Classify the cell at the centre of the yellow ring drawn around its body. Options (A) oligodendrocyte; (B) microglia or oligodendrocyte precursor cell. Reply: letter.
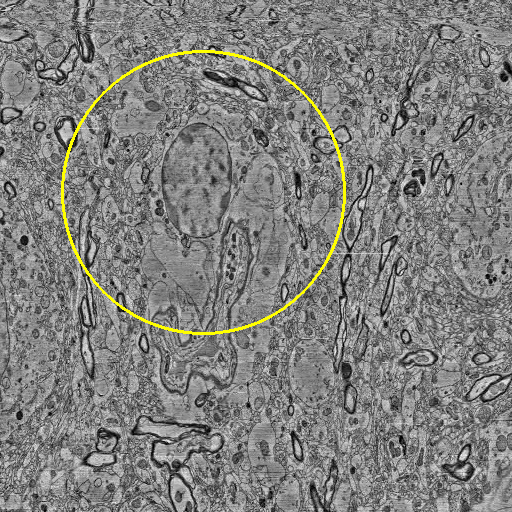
B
